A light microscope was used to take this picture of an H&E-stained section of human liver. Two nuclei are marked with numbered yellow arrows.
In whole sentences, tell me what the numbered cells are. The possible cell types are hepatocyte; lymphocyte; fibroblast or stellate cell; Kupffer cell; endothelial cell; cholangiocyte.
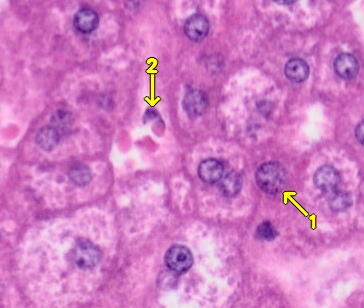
Cell 1 is a hepatocyte. Cell 2 is an endothelial cell.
